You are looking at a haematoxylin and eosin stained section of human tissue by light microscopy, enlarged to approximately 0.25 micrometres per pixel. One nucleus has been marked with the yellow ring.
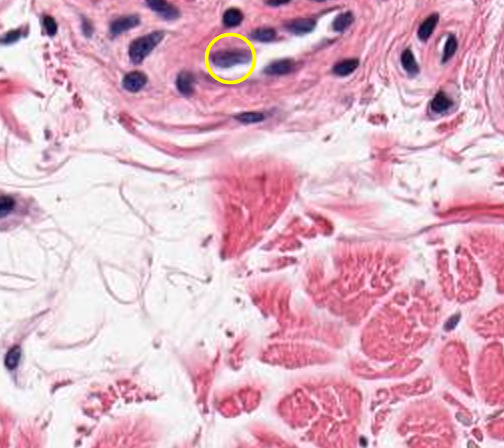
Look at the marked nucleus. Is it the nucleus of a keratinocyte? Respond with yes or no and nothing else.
no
